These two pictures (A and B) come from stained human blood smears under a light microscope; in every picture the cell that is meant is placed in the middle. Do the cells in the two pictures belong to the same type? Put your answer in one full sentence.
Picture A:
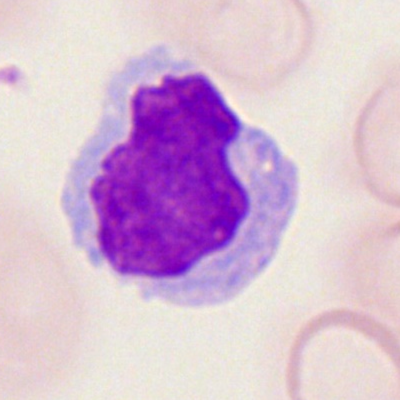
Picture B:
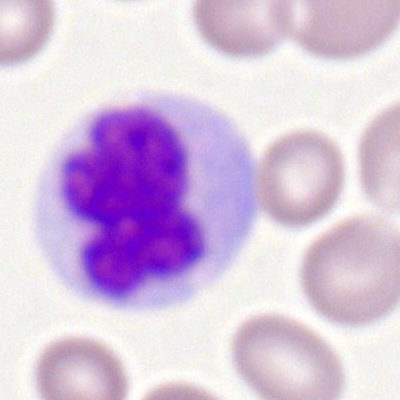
Yes, both cells are monocytes.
